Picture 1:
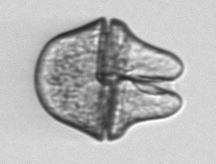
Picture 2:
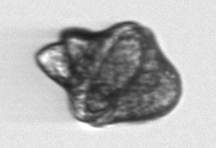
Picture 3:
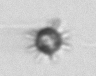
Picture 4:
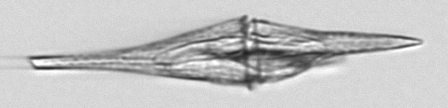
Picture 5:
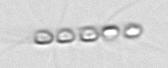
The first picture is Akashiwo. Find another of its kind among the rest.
Picture 2.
